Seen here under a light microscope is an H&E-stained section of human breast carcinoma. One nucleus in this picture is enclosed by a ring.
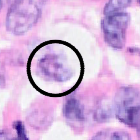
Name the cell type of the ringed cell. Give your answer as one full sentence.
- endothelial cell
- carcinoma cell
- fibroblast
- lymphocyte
Recorded by type, the ringed cell is a carcinoma cell.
